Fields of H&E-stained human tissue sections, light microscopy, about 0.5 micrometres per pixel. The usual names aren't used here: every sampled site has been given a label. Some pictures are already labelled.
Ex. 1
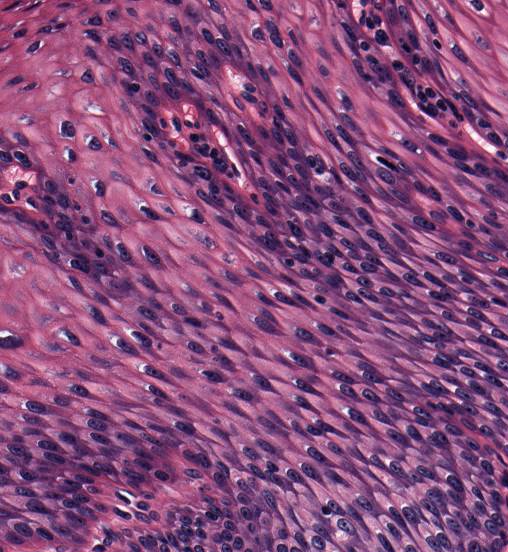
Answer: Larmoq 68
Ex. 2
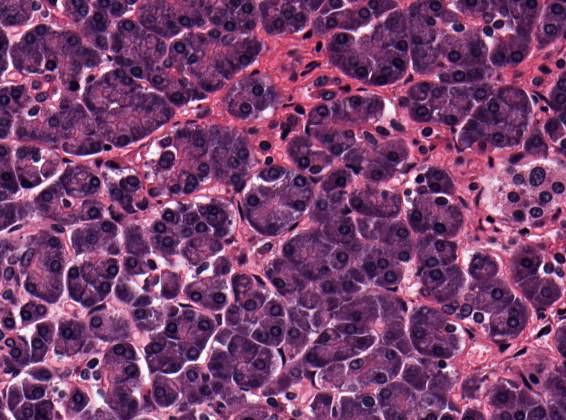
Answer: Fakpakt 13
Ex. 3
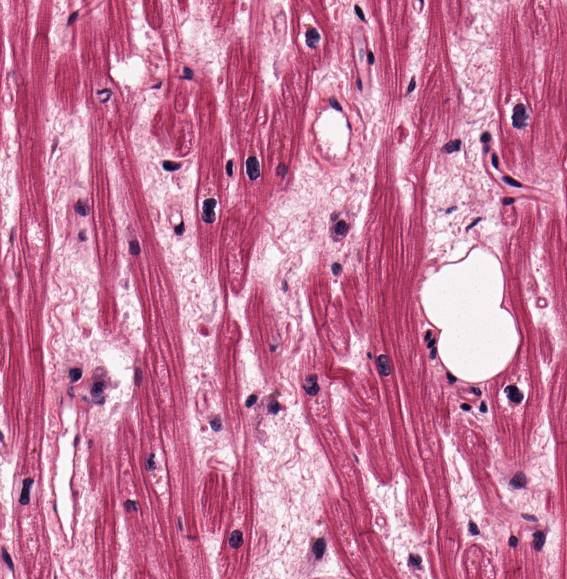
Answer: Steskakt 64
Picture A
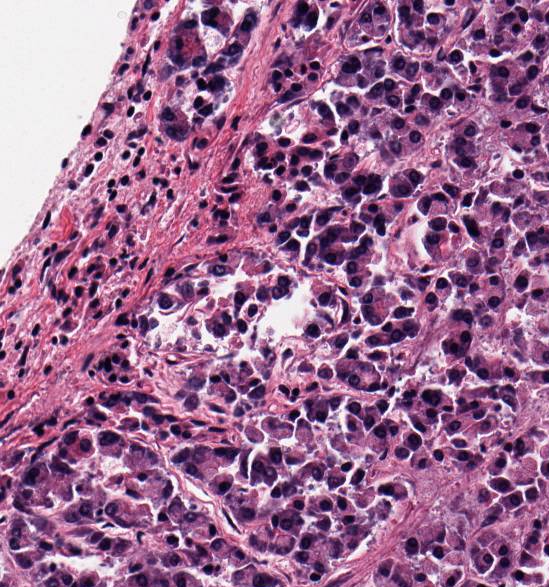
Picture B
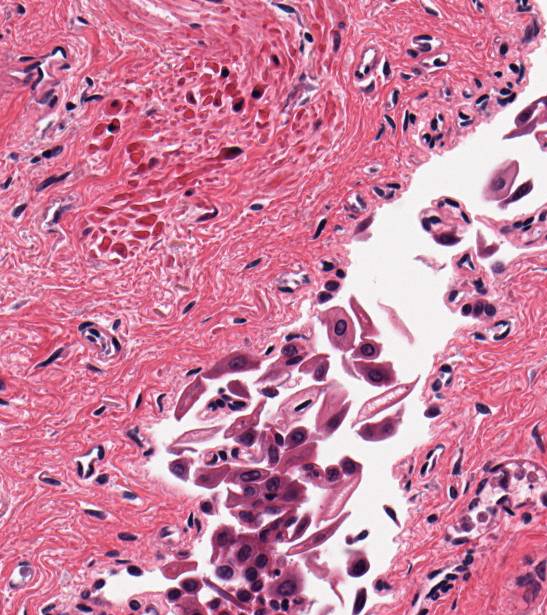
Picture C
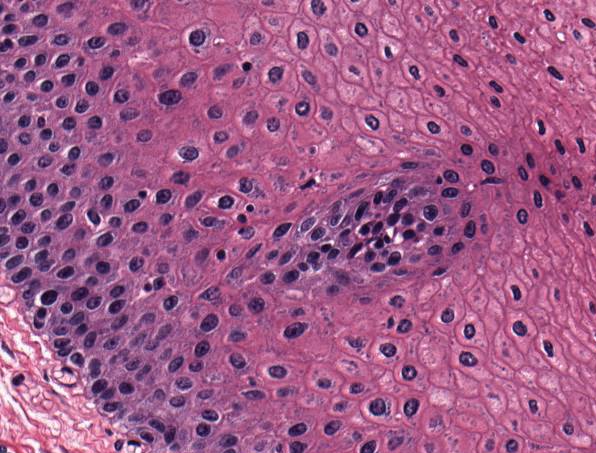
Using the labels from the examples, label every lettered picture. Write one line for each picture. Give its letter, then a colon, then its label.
A: Fakpakt 13
B: Larmoq 68
C: Larmoq 68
